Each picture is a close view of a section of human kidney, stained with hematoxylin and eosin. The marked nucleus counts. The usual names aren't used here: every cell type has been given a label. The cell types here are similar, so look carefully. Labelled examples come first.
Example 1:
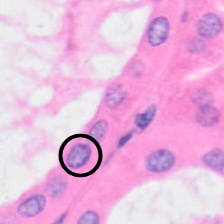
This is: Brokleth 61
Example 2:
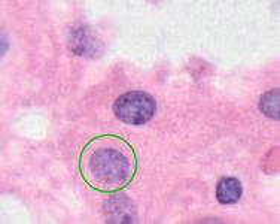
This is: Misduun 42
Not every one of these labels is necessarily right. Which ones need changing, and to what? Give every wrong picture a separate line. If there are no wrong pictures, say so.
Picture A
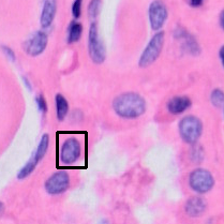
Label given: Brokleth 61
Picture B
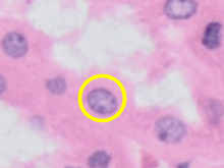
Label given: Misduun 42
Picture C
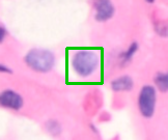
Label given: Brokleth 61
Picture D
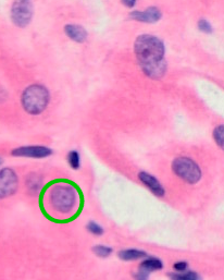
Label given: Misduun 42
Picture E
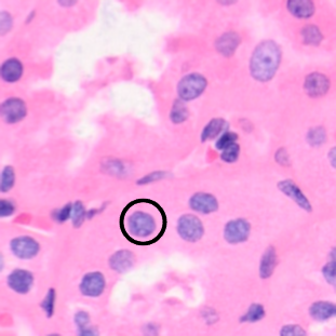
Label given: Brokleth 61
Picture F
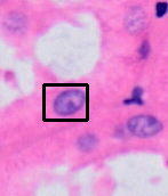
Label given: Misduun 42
None of the labels needs changing.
